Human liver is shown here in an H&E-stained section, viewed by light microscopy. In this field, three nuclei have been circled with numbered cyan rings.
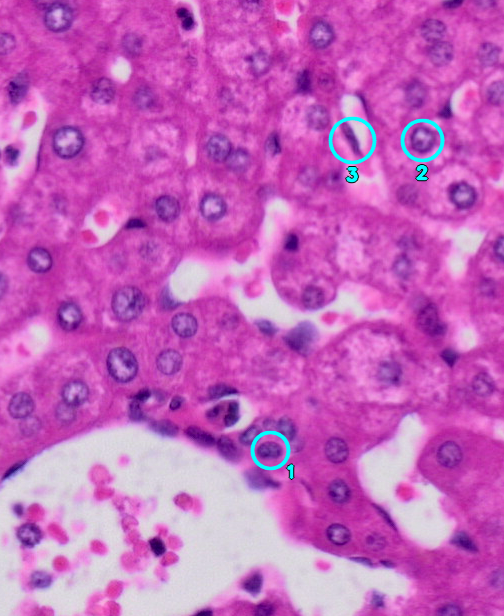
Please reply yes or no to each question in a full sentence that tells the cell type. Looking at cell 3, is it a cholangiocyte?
No, the cell under number 3 is a Kupffer cell instead of a cholangiocyte.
